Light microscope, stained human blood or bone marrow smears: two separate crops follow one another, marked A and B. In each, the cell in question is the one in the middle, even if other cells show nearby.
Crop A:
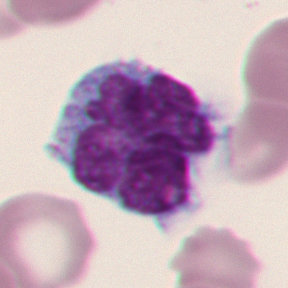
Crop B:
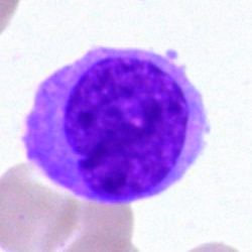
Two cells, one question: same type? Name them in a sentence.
Yes, both crops have monocytes as their central cells.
